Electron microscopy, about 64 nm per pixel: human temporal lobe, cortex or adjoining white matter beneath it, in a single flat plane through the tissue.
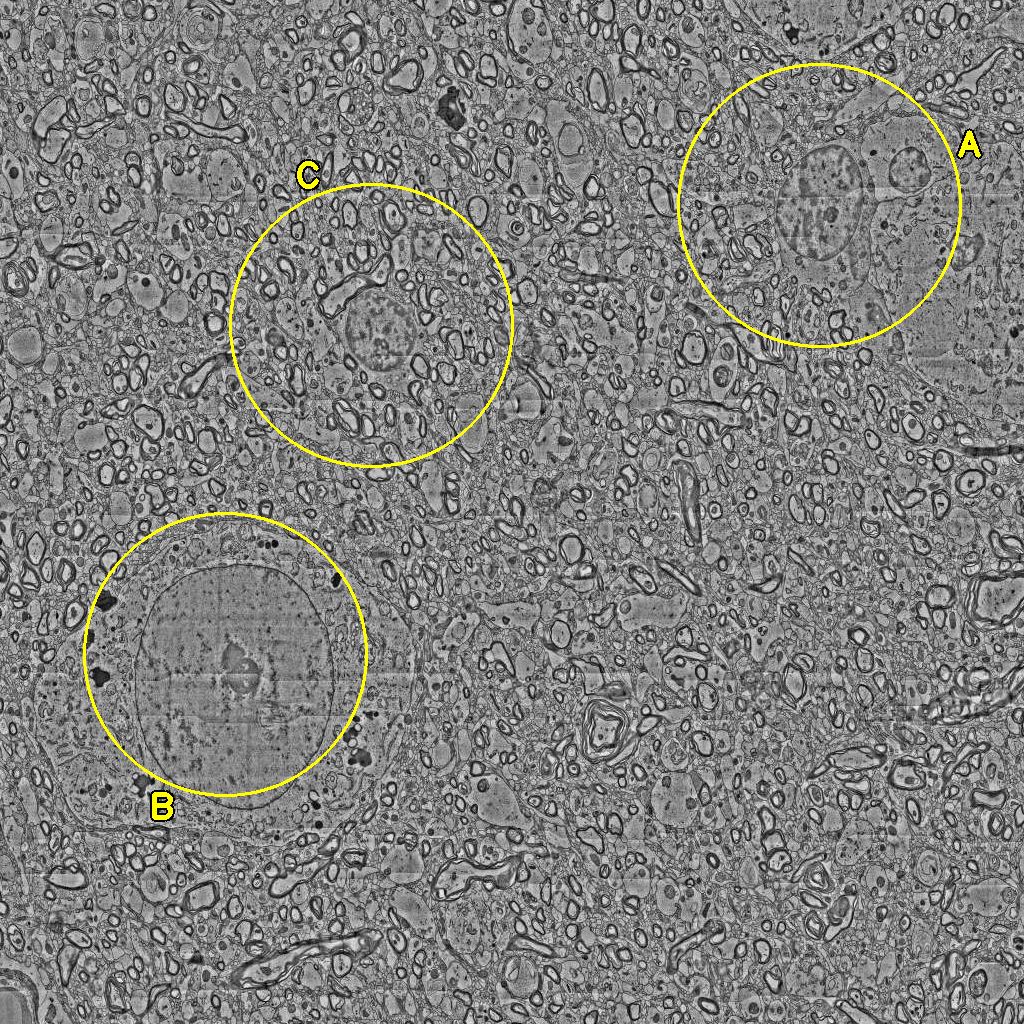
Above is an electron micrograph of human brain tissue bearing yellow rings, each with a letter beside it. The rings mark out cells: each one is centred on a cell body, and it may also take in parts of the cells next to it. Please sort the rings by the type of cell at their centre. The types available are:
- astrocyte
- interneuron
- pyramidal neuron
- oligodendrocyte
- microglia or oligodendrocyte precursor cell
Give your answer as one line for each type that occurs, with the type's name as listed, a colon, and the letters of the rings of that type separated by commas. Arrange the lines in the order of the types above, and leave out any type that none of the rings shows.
pyramidal neuron: B
oligodendrocyte: A, C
